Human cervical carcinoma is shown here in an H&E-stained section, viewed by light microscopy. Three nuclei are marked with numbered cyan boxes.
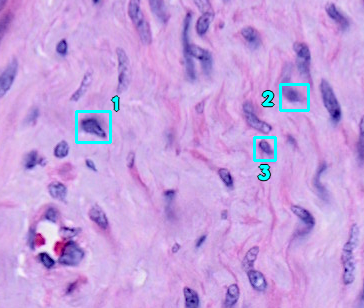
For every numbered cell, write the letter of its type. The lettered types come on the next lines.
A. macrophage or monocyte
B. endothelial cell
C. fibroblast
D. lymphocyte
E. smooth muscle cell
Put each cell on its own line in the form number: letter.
1: C
2: E
3: E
